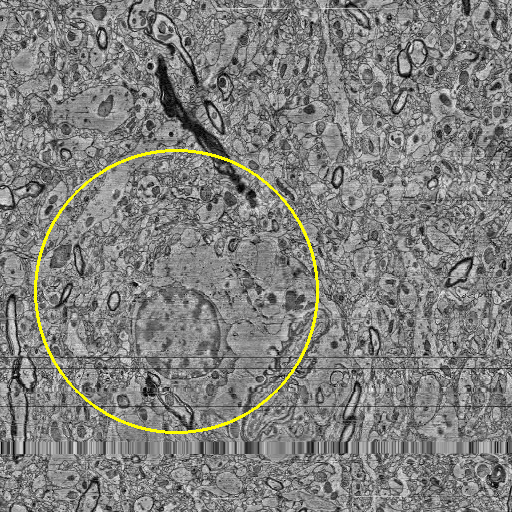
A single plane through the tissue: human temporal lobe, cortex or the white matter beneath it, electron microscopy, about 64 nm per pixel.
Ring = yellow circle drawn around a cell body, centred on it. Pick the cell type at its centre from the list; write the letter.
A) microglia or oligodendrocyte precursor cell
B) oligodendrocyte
B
